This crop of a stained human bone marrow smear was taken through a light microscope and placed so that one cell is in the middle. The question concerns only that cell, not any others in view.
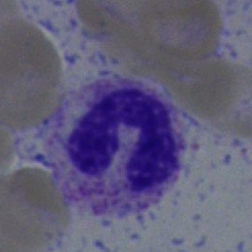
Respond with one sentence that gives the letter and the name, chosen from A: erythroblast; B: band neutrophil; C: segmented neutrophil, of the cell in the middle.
The cell in the middle is a segmented neutrophil, so option C is correct.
